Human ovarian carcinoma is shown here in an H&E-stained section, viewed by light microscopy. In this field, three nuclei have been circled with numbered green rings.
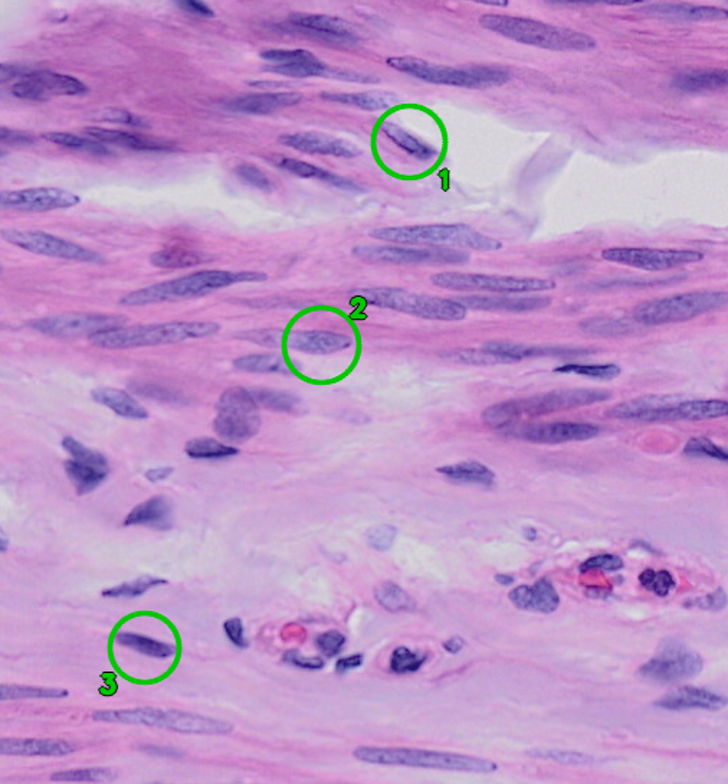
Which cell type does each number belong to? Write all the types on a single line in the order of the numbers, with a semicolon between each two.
smooth muscle cell; smooth muscle cell; fibroblast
